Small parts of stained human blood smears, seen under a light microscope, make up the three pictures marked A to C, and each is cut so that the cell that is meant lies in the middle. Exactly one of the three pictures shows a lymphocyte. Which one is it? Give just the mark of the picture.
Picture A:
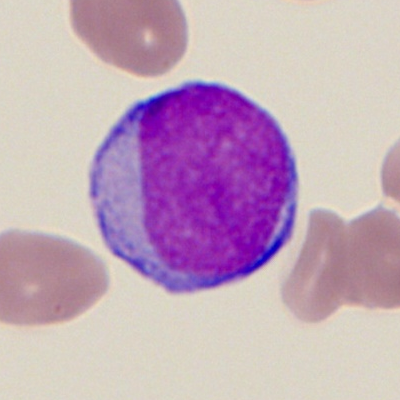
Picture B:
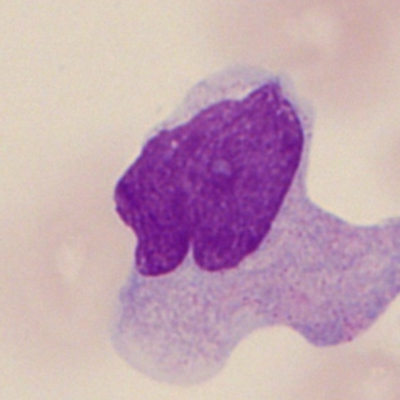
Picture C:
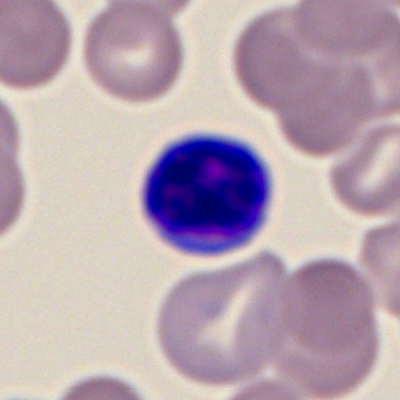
C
